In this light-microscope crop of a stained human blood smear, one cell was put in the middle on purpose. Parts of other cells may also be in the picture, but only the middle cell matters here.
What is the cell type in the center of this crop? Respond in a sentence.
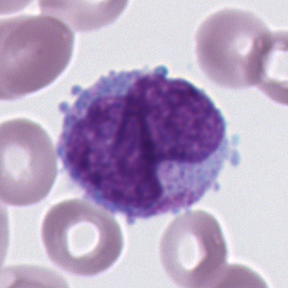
By classification, the middle cell of this crop is an atypical promyelocyte.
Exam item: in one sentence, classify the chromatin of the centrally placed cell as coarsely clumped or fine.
What stands out is chromatin that is coarsely clumped.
